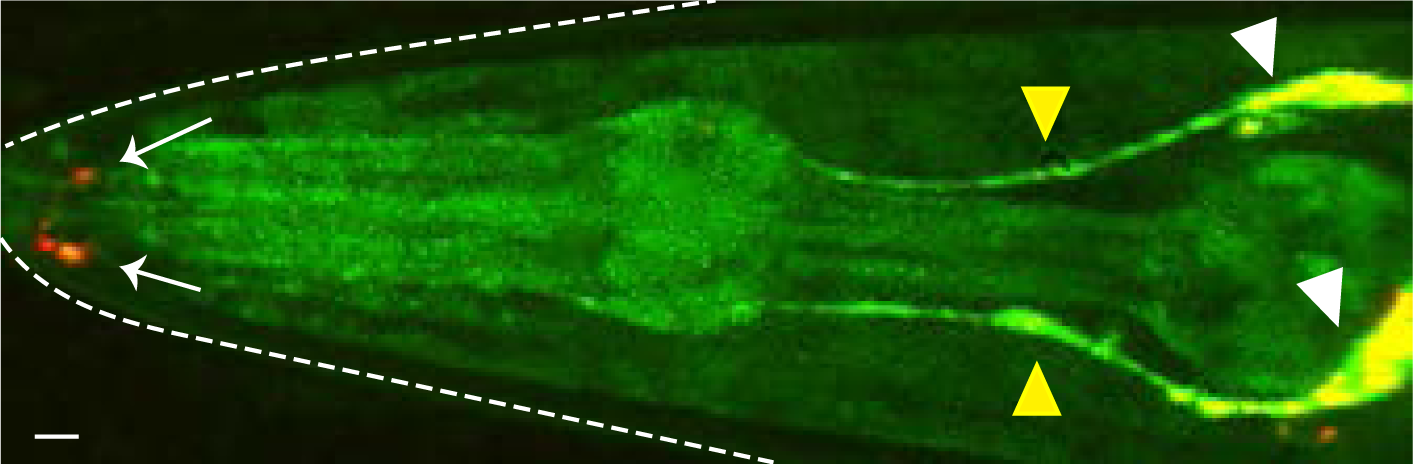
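Two bright cell bodies lie at the posterior right edge, appearing yellow where green and red overlap. From each, a thin dendrite runs forward along the upper and lower sides of the head toward the tip. At the anterior tip, small red to orange puncta mark the sensory endings. A diffuse green background fills the head, with a broad bulbous structure in its middle.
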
